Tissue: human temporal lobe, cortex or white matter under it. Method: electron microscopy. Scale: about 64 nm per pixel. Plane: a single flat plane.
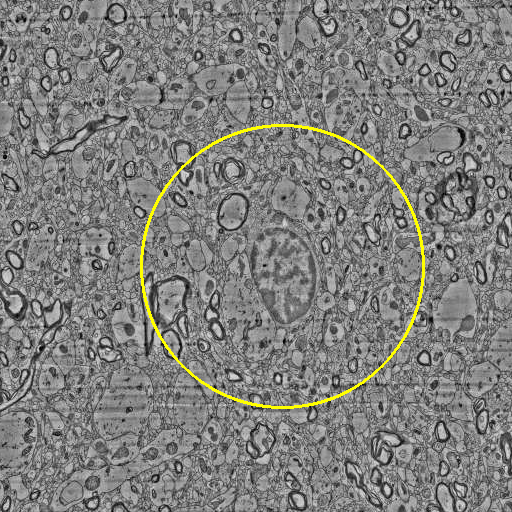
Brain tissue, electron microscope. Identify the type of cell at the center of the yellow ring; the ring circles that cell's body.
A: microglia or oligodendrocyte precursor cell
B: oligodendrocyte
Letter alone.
B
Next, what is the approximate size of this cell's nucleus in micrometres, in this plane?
The nucleus is approximately 6 micrometres long but only about 4 wide, clearly longer than it is wide in this plane.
